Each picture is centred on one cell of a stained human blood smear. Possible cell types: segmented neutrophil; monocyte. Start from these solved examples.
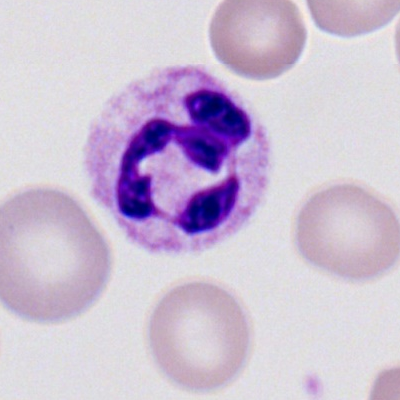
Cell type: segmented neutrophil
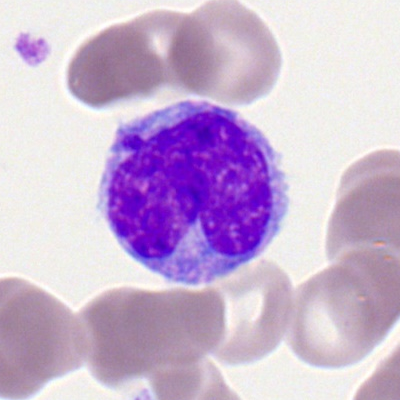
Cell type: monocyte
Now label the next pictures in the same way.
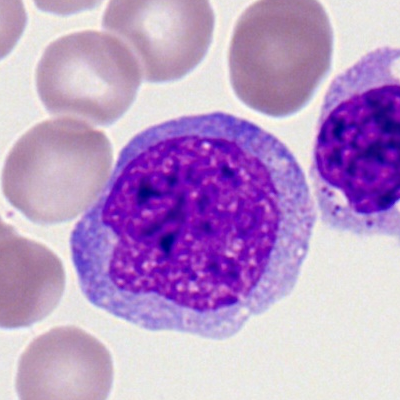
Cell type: monocyte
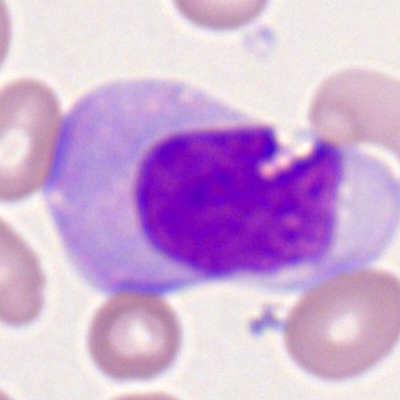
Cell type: monocyte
